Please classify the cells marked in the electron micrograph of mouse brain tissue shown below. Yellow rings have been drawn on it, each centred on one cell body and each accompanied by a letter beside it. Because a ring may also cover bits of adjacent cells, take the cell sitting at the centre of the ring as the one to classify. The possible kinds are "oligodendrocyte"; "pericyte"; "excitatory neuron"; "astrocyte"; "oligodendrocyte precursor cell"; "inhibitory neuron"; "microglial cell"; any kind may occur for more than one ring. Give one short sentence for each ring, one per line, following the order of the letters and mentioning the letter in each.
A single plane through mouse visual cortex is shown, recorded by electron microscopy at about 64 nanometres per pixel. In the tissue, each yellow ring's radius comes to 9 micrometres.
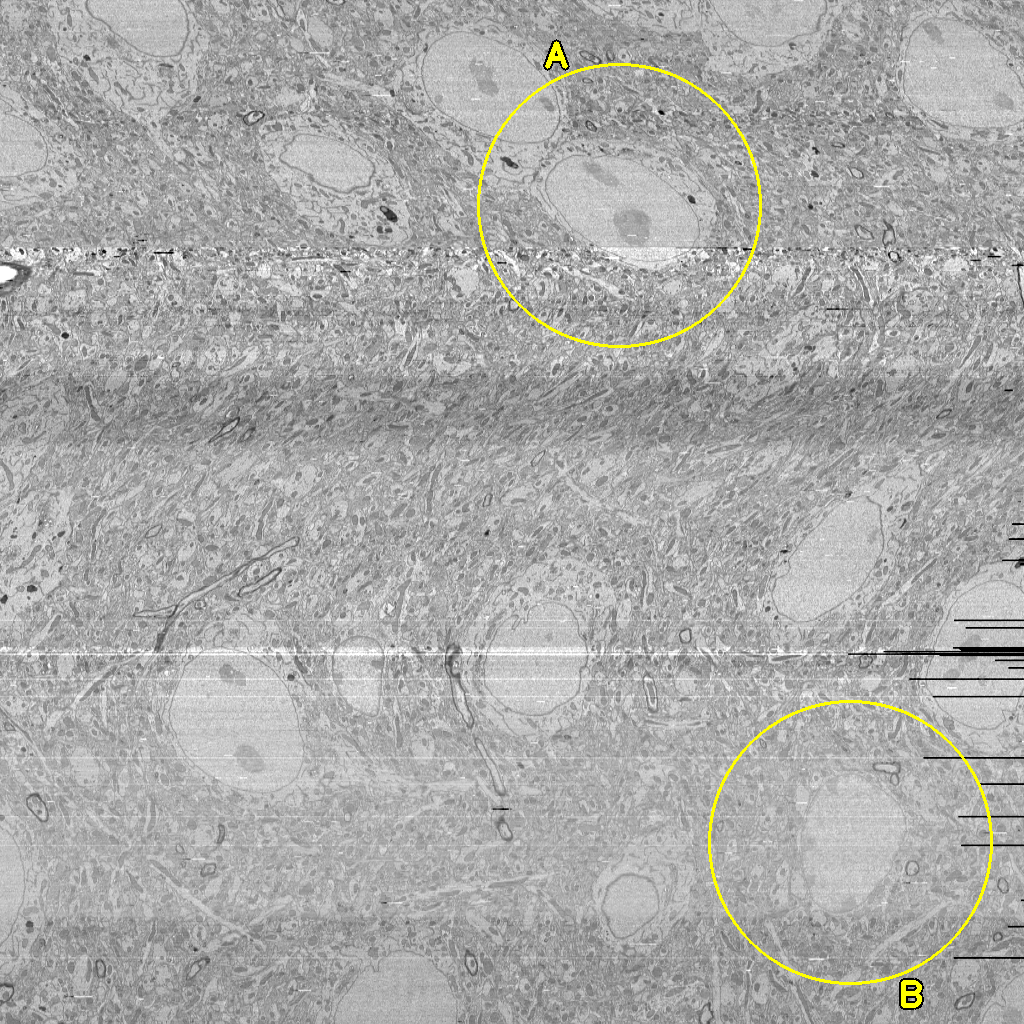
Ring A marks the cell body of an excitatory neuron.
Ring B marks the cell body of an astrocyte.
